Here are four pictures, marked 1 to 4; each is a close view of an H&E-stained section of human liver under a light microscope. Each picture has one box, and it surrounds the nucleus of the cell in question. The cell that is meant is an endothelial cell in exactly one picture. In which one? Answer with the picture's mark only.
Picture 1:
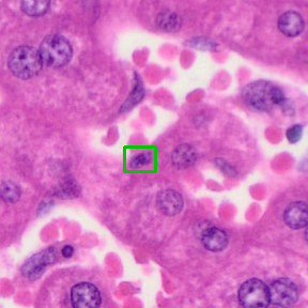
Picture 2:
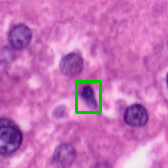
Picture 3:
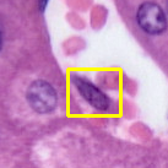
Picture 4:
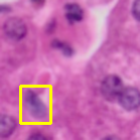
4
